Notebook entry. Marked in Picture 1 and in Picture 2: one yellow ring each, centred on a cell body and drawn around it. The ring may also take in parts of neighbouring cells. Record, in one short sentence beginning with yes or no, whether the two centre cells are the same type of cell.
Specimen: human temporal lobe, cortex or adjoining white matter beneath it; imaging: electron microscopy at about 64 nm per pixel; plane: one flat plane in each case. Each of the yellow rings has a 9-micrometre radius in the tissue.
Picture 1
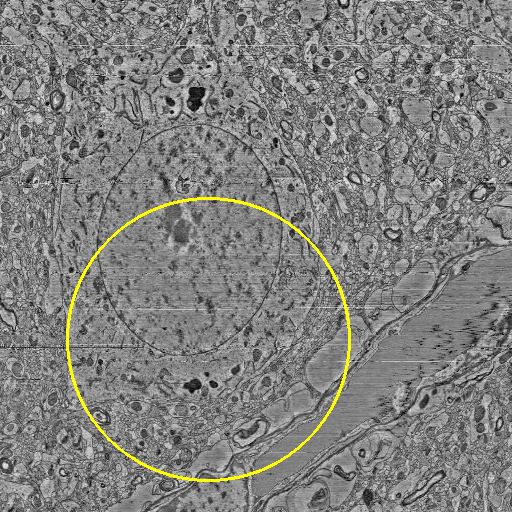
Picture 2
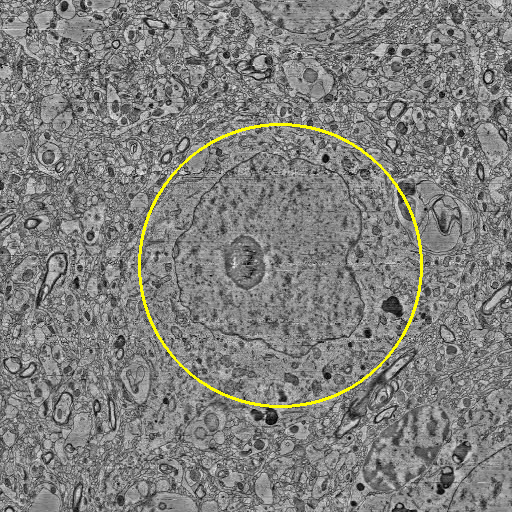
Yes, both are the same type of cell.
